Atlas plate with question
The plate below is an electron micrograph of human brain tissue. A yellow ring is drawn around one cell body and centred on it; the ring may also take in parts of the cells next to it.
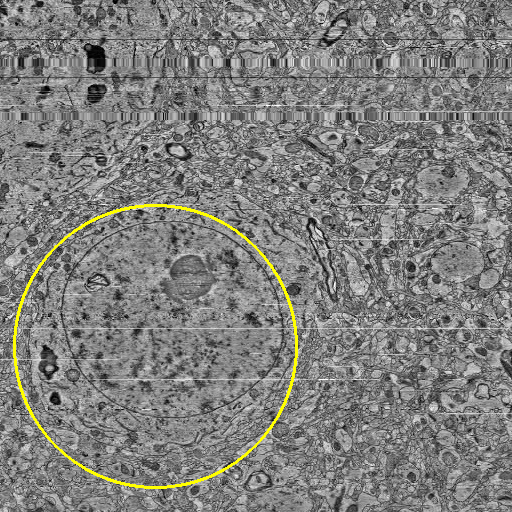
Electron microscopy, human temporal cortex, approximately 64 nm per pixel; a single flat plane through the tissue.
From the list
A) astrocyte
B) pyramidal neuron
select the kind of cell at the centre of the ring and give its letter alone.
B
